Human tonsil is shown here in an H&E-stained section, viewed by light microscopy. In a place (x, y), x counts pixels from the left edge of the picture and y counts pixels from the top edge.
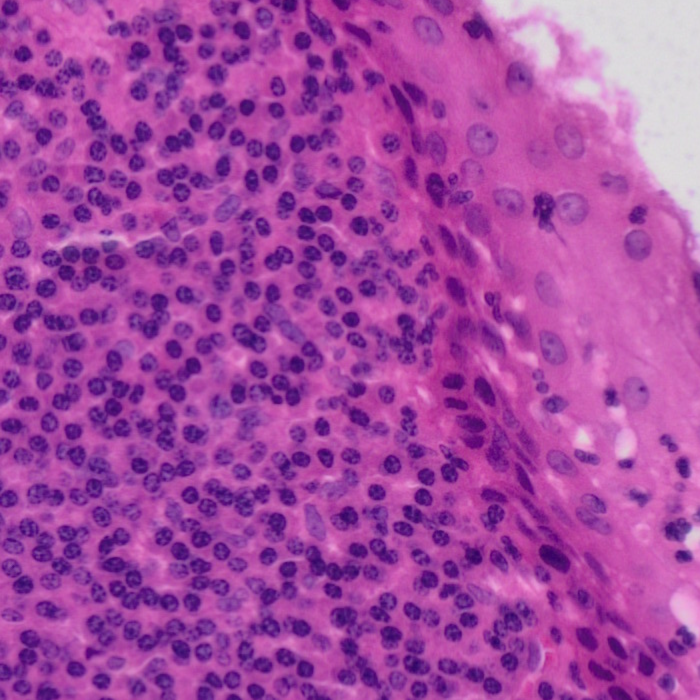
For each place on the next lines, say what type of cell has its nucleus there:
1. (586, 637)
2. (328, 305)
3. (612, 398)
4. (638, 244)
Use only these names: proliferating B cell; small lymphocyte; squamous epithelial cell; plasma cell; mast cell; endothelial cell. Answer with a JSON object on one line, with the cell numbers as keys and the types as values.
{"1": "squamous epithelial cell", "2": "plasma cell", "3": "squamous epithelial cell", "4": "squamous epithelial cell"}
